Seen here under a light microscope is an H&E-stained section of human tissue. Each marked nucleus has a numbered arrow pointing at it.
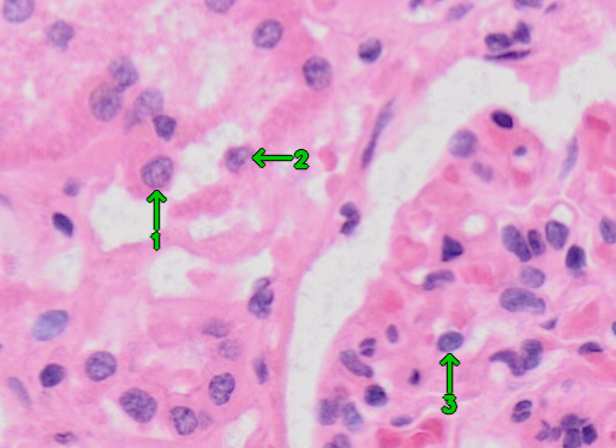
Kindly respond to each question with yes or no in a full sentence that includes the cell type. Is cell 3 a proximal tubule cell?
No, number 3 does not mark a proximal tubule cell; it marks an endothelial cell.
